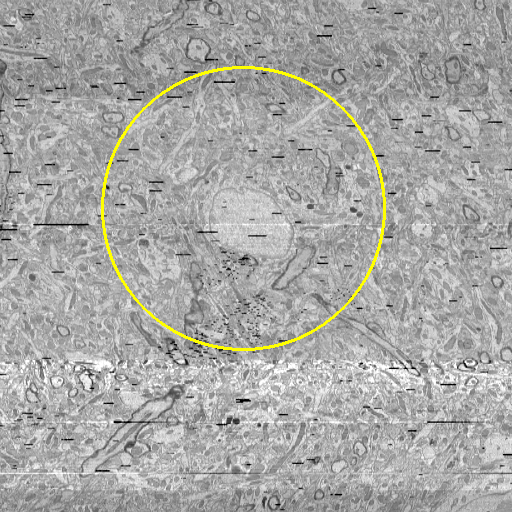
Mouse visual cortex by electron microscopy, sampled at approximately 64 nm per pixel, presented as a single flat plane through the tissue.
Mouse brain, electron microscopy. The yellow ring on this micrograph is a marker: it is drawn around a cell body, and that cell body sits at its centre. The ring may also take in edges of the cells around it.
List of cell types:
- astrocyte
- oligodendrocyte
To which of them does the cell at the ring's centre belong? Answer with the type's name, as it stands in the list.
astrocyte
